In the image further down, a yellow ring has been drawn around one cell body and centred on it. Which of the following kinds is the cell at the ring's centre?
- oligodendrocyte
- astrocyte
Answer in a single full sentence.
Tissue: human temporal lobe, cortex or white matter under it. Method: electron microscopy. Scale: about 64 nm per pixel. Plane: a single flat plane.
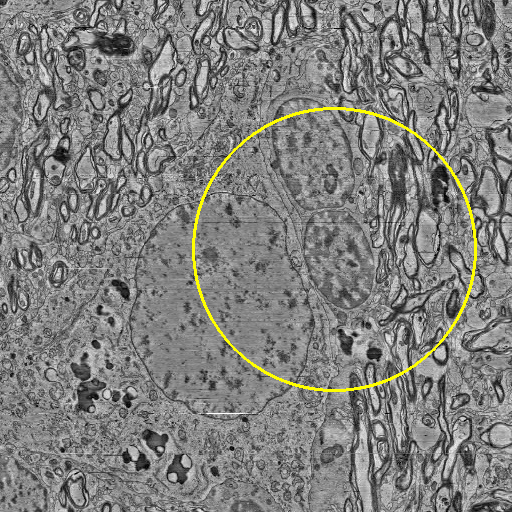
In the picture, the cell sitting at the centre of the yellow ring is an oligodendrocyte.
